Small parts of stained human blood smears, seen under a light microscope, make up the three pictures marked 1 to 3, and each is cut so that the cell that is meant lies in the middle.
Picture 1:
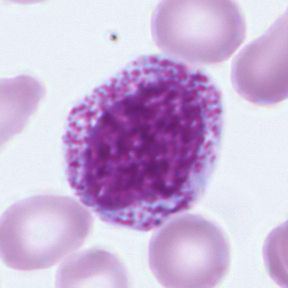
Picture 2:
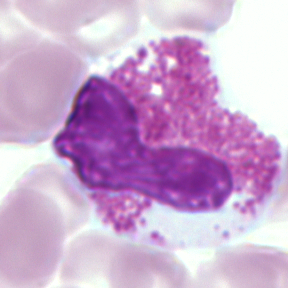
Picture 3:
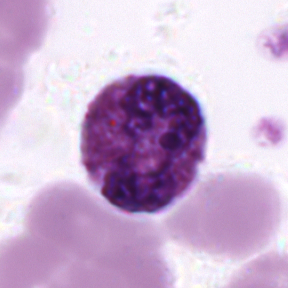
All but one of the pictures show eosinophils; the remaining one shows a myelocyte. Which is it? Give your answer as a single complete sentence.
The picture with the myelocyte is 1.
